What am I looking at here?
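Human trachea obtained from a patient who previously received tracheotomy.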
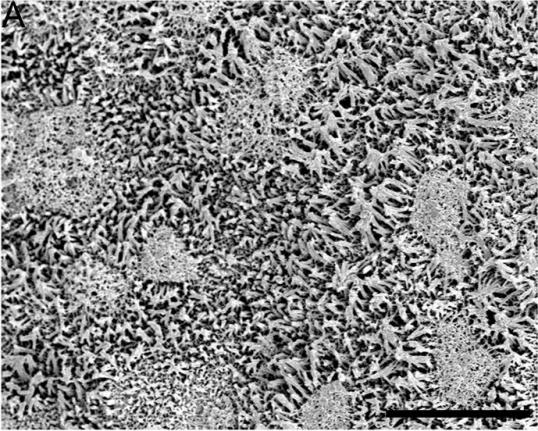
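Airway surface epithelium seen from above, densely covered by long, slender cilia that lie in clumped, swirling tufts over most of the field. Scattered among them are rounded cell surfaces with a much finer, shorter surface texture and no long cilia.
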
